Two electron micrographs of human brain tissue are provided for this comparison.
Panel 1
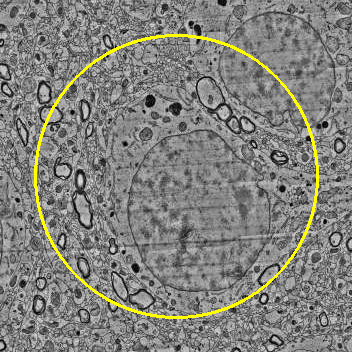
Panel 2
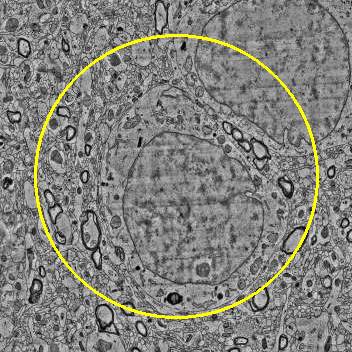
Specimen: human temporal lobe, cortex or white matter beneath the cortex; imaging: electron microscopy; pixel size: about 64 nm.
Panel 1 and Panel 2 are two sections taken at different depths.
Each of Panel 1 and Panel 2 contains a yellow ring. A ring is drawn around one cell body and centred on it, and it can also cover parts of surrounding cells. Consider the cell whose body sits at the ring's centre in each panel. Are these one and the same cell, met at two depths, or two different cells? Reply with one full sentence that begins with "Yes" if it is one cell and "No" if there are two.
Yes, these two rings point to one cell rather than two.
